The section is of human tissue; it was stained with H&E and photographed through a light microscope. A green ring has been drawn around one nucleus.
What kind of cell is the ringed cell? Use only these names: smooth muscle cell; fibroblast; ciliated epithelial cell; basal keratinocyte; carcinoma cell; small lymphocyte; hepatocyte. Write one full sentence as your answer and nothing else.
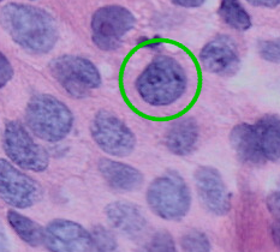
In cell-type terms, the ringed cell is a carcinoma cell.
